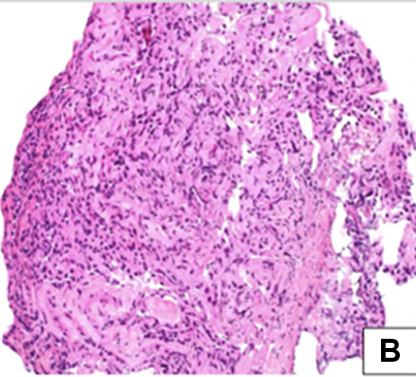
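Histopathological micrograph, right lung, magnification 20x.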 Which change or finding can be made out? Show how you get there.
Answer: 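Many small round dark-purple nuclei are scattered densely through the tissue. Pink fibrous stroma lies between the crowded nuclei. That points to this answer: chronic lymphoid inflammation.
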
